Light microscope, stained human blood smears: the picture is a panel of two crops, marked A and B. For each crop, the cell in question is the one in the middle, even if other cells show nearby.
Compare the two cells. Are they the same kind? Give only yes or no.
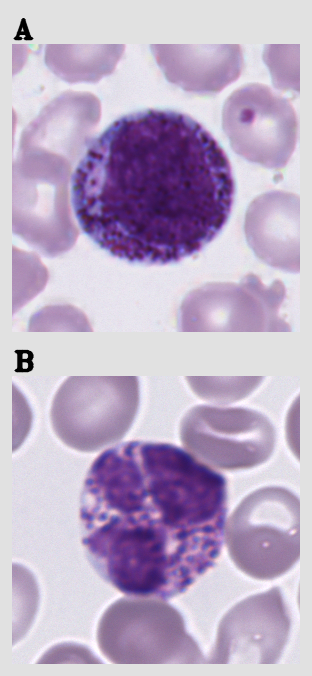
no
